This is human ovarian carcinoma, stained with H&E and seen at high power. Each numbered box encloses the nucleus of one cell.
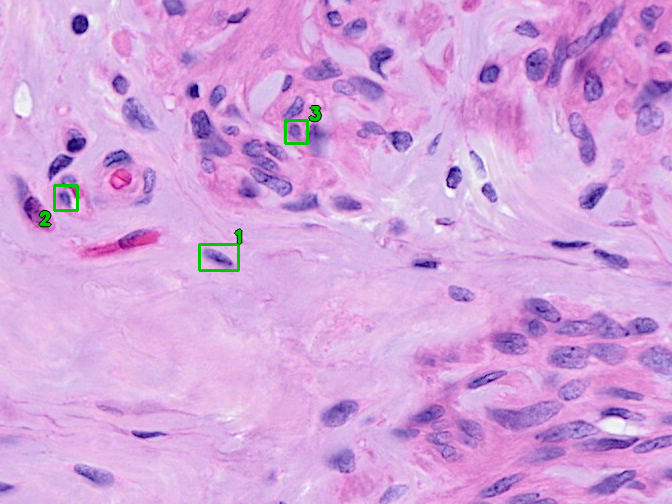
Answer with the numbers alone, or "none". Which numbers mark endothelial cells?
2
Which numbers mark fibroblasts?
1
